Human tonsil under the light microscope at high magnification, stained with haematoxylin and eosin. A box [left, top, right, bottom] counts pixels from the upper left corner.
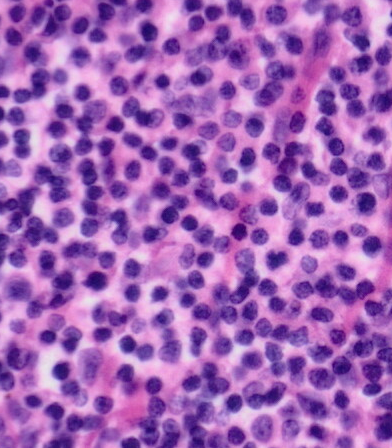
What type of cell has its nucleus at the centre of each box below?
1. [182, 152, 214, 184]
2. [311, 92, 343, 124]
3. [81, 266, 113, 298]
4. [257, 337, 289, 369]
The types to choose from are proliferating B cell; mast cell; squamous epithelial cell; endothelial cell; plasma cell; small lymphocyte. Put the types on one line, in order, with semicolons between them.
small lymphocyte; small lymphocyte; proliferating B cell; small lymphocyte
